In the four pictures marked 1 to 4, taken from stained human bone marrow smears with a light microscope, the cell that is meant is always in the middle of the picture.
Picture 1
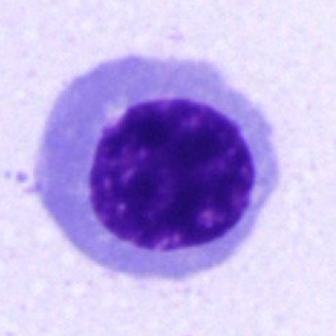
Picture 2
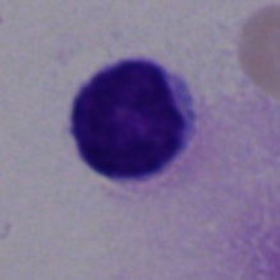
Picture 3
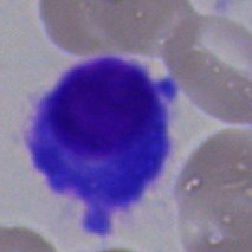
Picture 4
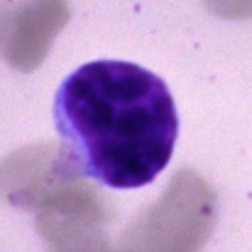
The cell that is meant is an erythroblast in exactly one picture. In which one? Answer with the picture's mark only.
1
